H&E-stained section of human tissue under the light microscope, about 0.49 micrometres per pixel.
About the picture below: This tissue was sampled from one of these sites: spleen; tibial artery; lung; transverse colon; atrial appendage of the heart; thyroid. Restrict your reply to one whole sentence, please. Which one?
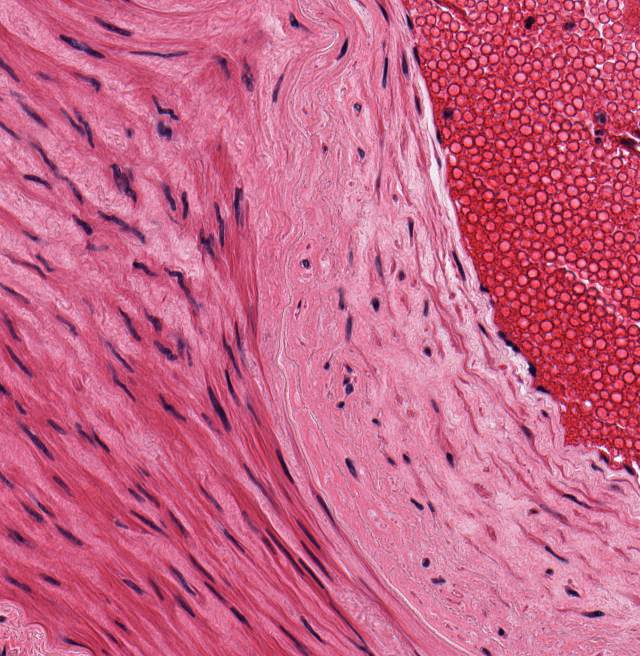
The sampled site for this tissue is the tibial artery.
